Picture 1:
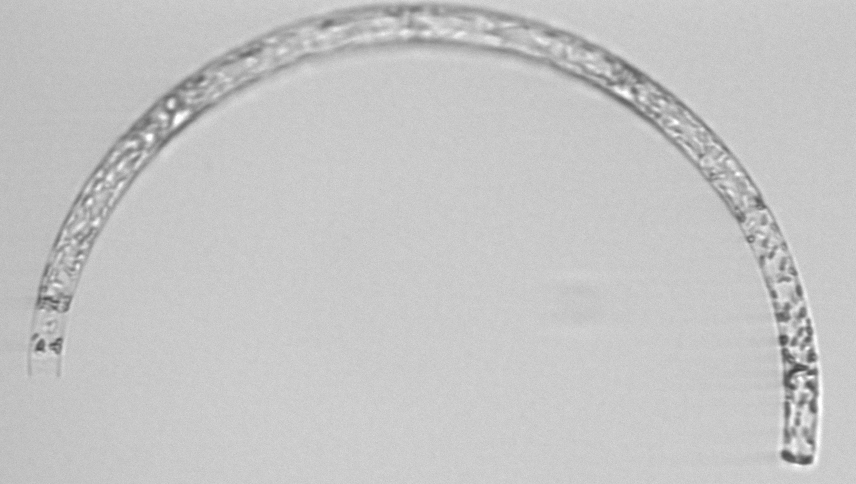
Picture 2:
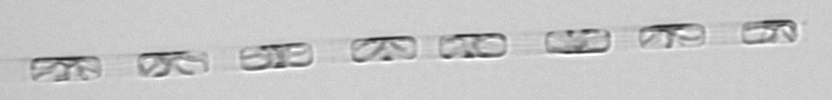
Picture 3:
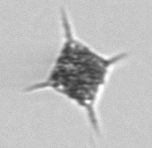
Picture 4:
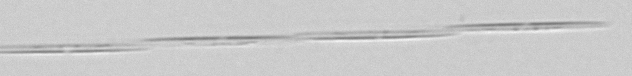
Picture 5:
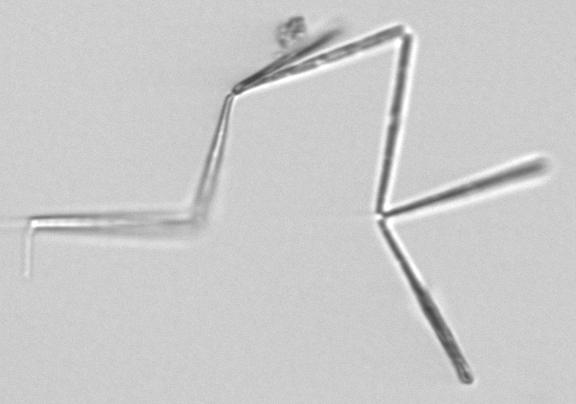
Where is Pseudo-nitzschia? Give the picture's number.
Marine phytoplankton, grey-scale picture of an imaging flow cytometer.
4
